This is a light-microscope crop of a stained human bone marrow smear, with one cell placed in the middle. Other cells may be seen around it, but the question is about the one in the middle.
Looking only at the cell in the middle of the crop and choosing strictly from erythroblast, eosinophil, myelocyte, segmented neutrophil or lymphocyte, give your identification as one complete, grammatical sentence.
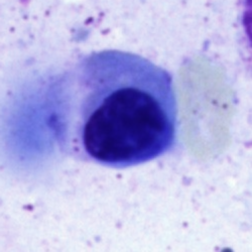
The centrally placed cell is classified as an erythroblast.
